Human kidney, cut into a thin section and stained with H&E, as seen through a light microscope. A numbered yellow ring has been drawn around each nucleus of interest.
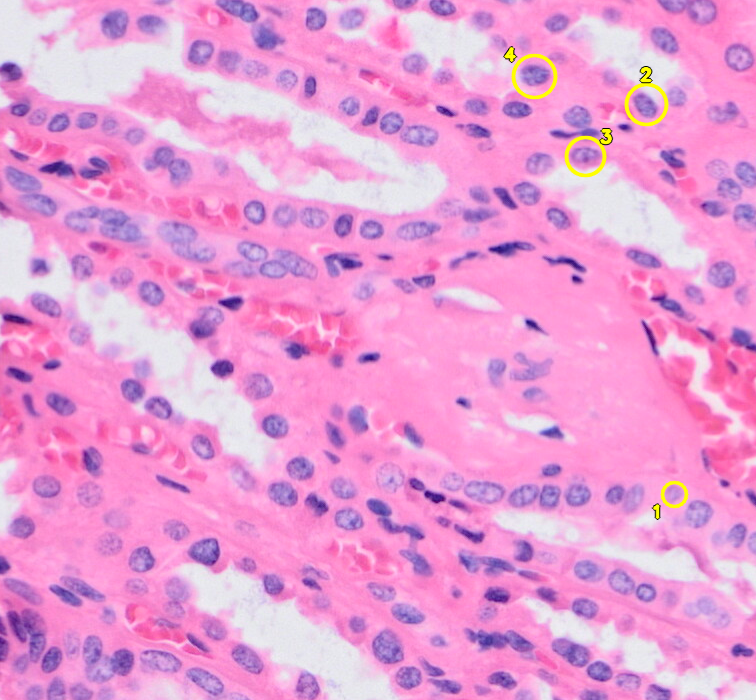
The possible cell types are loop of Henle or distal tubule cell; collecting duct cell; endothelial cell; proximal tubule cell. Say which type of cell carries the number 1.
collecting duct cell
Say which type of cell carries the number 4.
loop of Henle or distal tubule cell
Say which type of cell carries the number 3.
loop of Henle or distal tubule cell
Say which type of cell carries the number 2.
loop of Henle or distal tubule cell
